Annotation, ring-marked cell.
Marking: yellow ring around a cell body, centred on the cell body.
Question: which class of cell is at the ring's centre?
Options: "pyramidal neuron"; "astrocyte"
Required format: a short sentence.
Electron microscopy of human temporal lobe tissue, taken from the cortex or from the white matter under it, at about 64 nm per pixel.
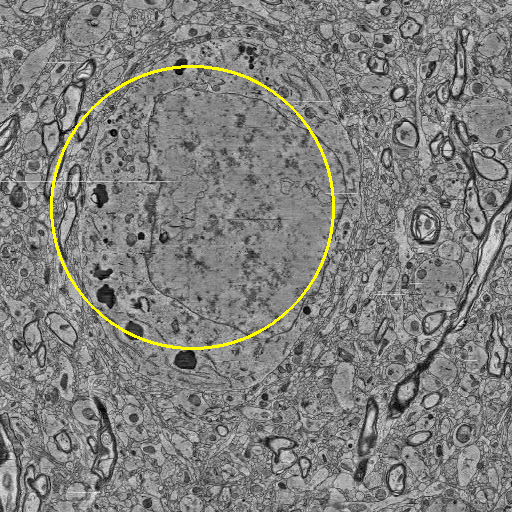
At the ring's centre is a pyramidal neuron.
